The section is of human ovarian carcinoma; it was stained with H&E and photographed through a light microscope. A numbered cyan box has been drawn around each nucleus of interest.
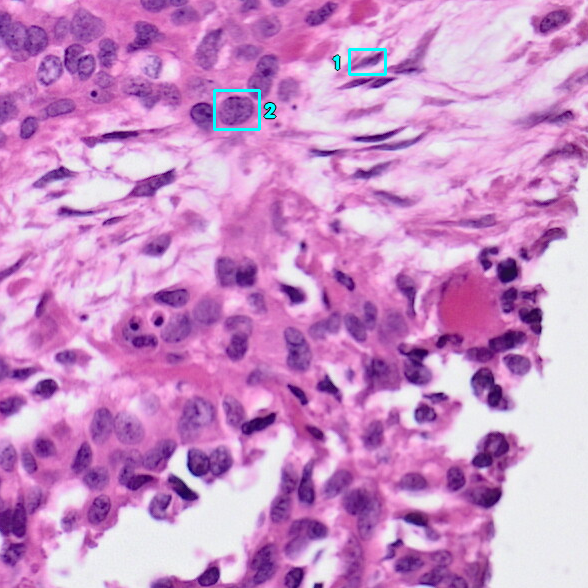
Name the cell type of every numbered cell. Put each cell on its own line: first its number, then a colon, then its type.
1: fibroblast
2: carcinoma cell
